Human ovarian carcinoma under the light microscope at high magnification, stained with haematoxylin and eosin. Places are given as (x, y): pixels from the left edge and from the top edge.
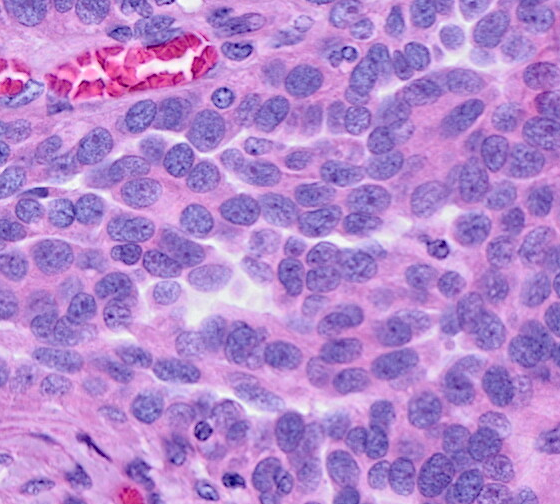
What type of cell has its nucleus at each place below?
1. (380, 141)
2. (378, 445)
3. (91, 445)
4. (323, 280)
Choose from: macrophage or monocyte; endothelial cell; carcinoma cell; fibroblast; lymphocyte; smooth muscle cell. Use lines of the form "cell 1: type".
cell 1: carcinoma cell
cell 2: carcinoma cell
cell 3: fibroblast
cell 4: carcinoma cell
